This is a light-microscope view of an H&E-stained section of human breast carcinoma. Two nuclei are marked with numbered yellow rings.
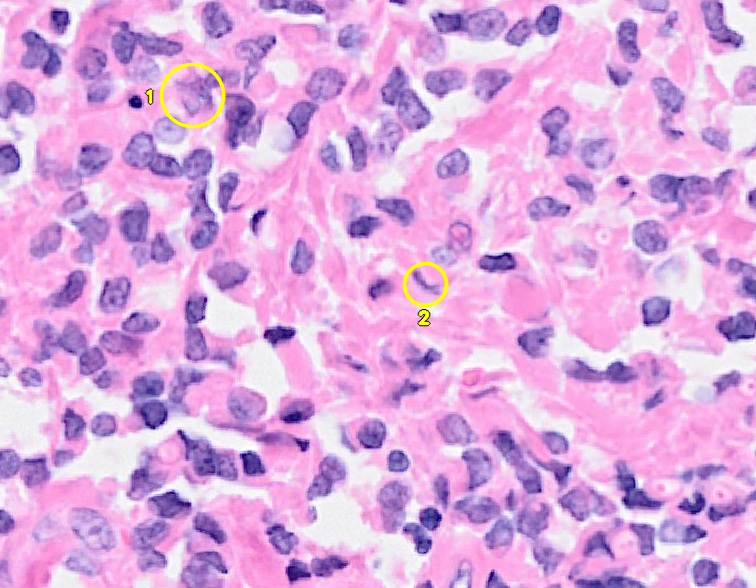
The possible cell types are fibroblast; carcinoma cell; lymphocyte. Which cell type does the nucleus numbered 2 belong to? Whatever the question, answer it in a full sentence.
In the marked set, the cell given number 2 is a fibroblast.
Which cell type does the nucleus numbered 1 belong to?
The cell identified by number 1 is a carcinoma cell.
